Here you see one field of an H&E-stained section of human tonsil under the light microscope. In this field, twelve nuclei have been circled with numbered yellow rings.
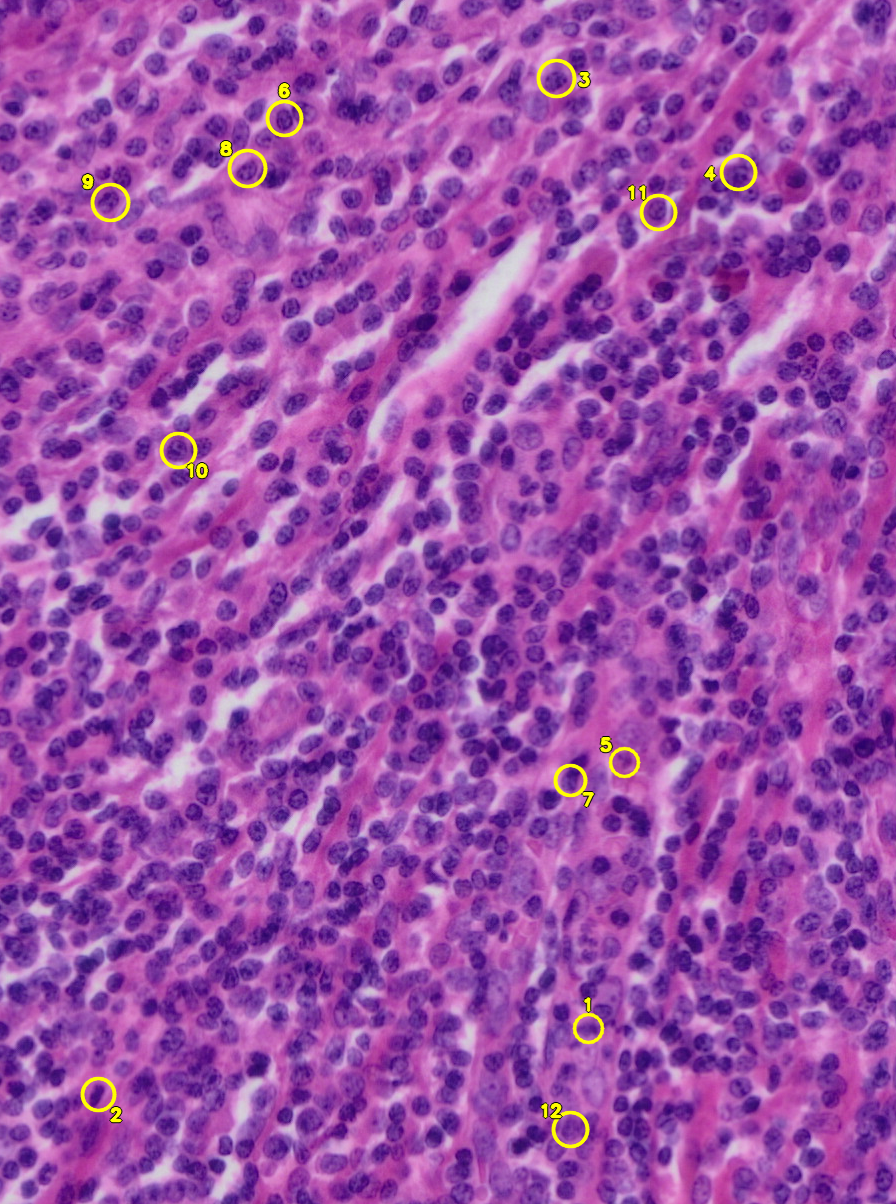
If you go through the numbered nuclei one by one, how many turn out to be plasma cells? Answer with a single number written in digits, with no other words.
7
